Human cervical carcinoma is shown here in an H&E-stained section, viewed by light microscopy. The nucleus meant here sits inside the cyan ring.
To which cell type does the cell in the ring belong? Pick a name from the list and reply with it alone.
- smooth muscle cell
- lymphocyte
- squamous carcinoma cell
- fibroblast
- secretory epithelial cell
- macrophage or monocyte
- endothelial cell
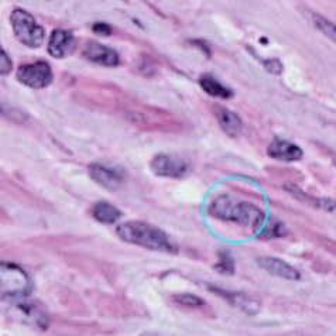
endothelial cell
